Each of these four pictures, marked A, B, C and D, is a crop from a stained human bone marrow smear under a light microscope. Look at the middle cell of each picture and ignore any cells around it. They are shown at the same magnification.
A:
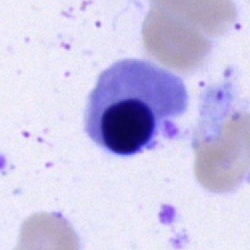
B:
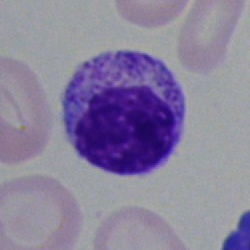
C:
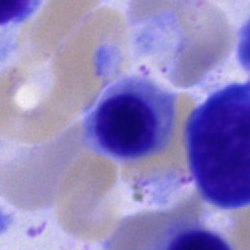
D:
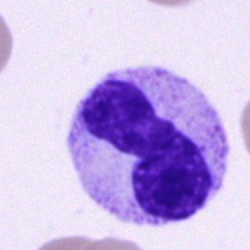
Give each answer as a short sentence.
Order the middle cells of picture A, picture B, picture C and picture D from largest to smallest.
Largest first: D, B, A, C.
